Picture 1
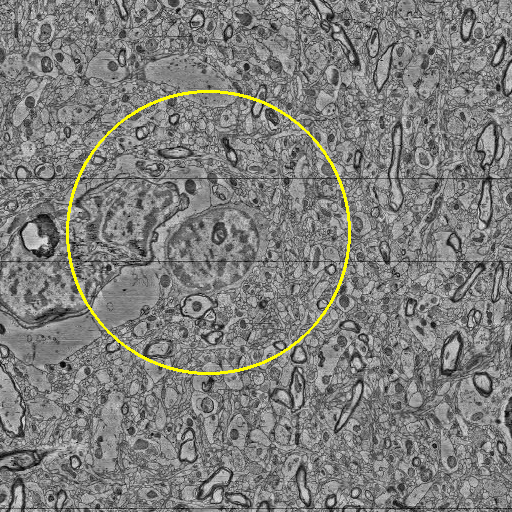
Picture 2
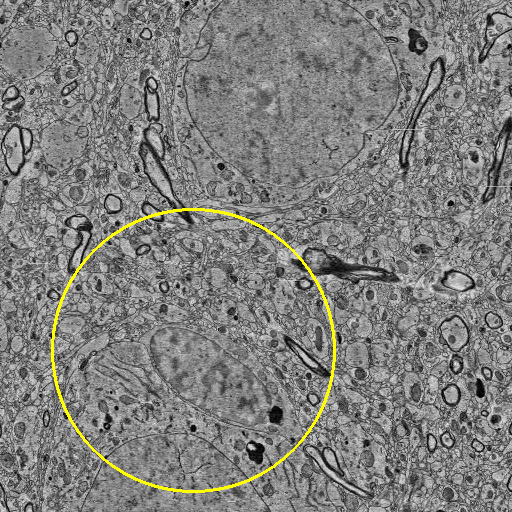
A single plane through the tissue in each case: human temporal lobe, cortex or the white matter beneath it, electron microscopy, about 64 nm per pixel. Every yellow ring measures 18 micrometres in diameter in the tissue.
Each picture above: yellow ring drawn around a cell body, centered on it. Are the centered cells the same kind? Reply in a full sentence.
Yes, the two cells are the same kind.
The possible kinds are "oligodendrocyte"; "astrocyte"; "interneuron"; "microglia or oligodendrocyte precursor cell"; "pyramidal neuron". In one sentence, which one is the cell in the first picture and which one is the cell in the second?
Both rings mark an oligodendrocyte, one in each picture.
